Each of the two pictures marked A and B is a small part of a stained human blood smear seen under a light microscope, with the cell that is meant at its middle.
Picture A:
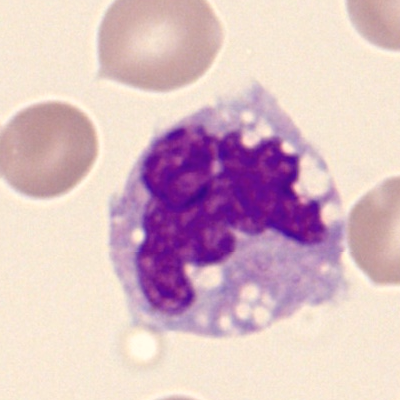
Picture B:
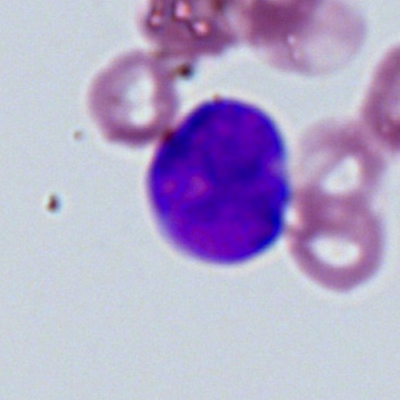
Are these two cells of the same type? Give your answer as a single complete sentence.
No, the types are not the same, since picture A shows a monocyte and picture B a myeloblast.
